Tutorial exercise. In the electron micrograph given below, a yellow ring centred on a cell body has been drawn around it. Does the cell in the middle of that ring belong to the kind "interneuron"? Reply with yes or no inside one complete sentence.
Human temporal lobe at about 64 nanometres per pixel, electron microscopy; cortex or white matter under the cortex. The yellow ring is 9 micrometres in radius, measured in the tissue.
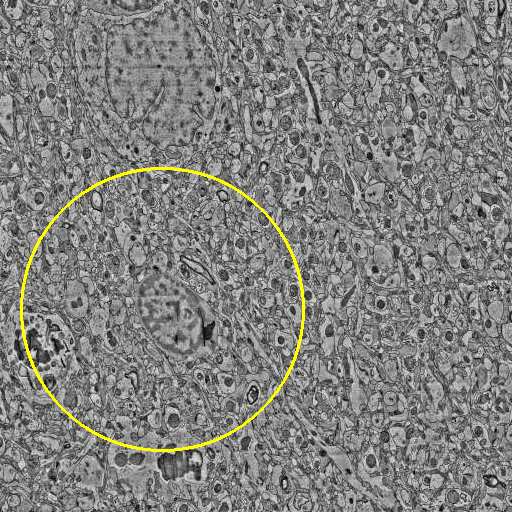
No, the cell at the centre of the ring in the picture is of a different kind.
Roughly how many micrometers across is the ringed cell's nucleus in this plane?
About 5 by 4 micrometers, in this plane.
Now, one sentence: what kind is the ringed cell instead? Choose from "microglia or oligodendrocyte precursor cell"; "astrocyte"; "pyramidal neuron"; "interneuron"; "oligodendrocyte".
The cell marked by the ring is an oligodendrocyte.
